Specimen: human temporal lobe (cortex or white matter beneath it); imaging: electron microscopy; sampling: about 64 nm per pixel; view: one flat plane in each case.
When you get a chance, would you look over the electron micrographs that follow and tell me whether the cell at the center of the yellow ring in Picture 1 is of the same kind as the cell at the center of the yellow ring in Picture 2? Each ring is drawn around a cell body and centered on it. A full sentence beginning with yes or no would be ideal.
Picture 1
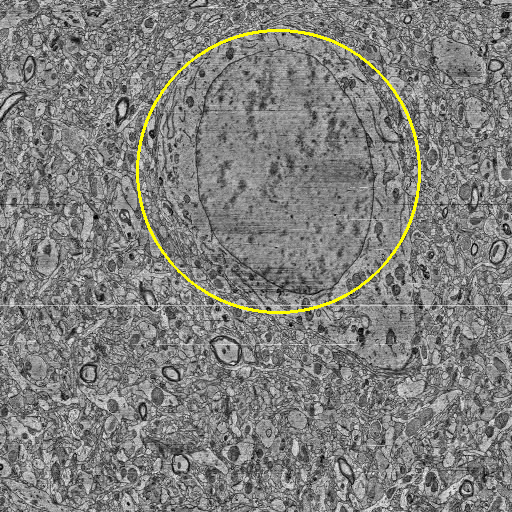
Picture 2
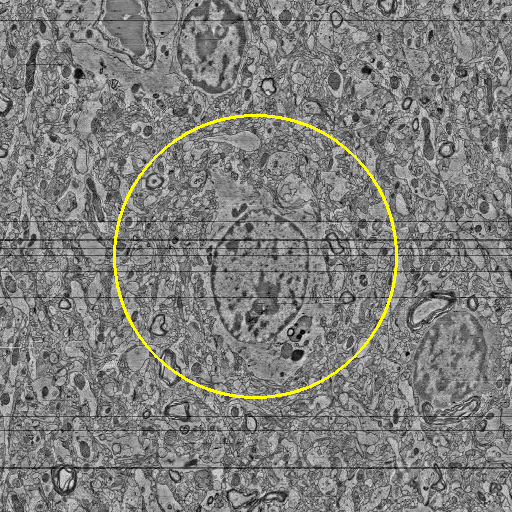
No, they are two kinds of cell.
